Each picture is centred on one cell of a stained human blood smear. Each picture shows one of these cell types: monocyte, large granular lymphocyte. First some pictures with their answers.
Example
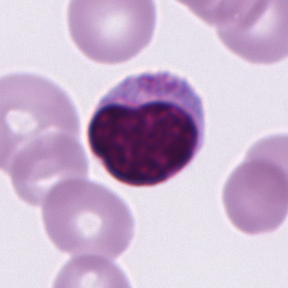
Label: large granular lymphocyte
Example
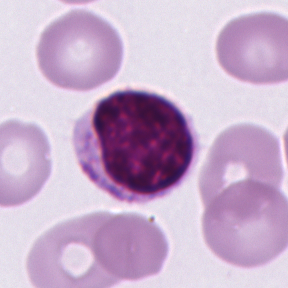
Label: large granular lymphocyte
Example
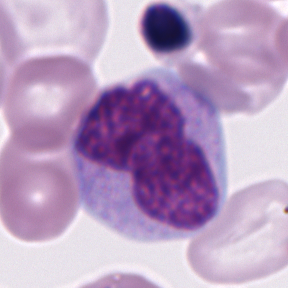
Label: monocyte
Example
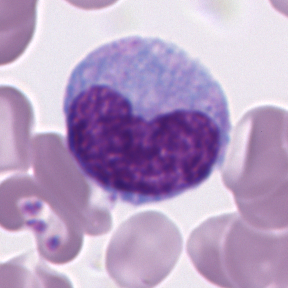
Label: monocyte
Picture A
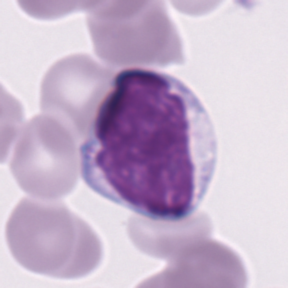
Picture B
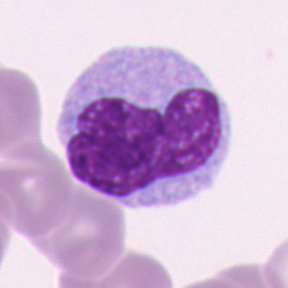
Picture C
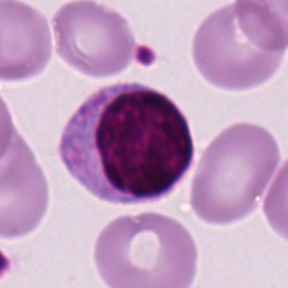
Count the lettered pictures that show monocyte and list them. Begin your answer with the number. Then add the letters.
1: B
